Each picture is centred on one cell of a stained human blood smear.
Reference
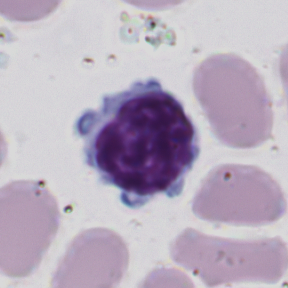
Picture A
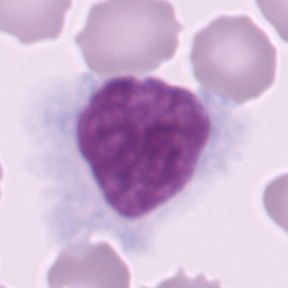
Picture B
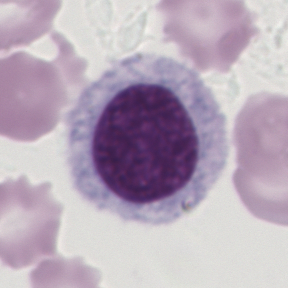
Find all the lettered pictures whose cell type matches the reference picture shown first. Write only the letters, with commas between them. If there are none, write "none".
none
